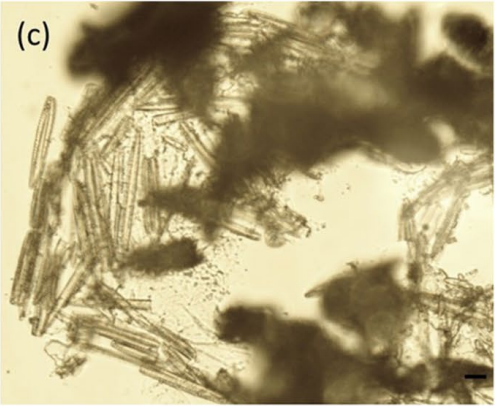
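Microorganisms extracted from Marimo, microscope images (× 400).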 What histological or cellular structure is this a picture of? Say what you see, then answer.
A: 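Diatom cluster. Many elongate rod-shaped, transparent frustules lie together in a mass. Dark opaque debris clumps surround the group.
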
